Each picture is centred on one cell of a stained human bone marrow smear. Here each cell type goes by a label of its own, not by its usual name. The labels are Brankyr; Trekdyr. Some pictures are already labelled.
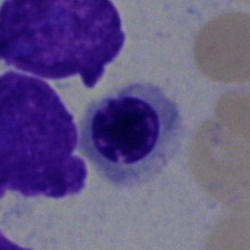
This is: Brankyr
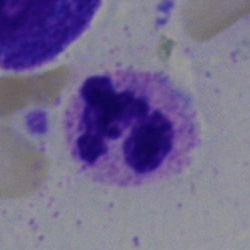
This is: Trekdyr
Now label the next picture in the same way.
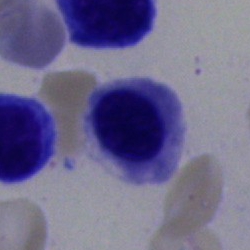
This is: Brankyr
